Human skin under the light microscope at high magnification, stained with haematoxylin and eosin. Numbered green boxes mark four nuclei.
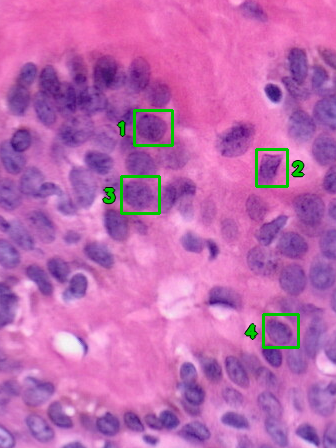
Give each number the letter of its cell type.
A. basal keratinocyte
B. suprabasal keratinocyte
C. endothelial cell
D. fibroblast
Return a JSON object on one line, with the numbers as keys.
{"1": "A", "2": "D", "3": "A", "4": "A"}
